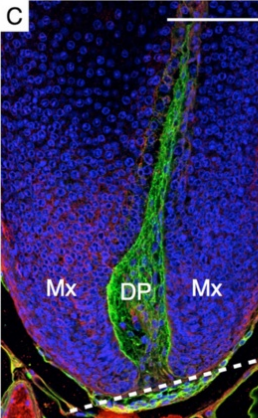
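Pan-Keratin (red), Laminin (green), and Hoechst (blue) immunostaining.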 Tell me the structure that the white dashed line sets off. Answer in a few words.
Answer: Tilted base of the follicle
